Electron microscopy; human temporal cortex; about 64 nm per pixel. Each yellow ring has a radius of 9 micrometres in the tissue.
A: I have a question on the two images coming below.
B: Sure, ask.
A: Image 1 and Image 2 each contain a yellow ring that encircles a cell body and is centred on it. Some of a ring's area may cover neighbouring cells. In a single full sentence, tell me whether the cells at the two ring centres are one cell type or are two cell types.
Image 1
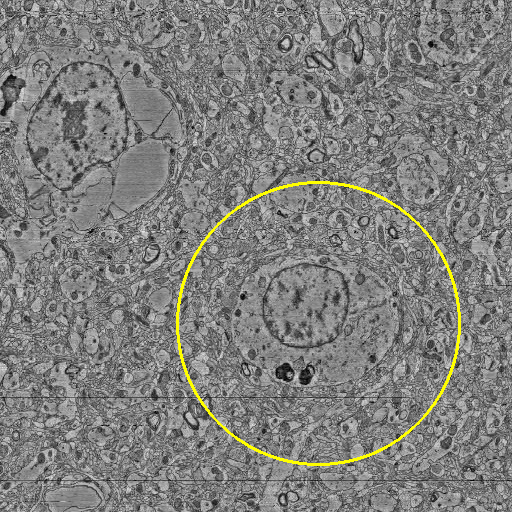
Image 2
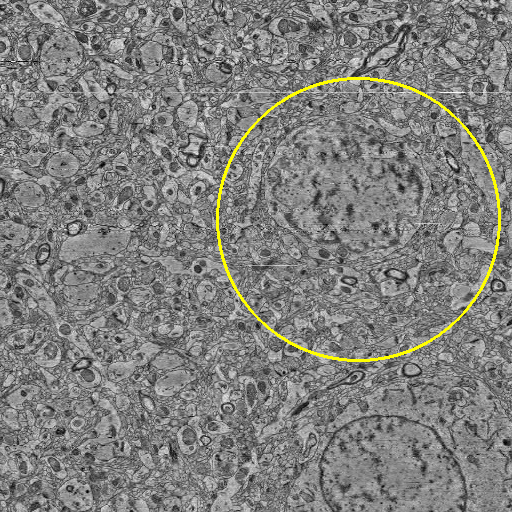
As for the ring-centre cells, the one in Image 1 and the one in Image 2 are two cell types.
